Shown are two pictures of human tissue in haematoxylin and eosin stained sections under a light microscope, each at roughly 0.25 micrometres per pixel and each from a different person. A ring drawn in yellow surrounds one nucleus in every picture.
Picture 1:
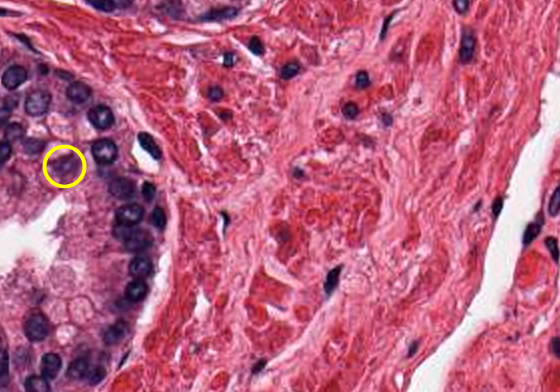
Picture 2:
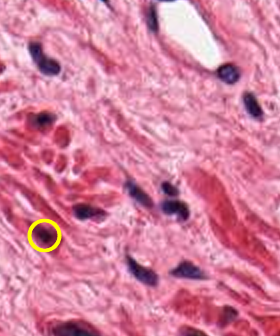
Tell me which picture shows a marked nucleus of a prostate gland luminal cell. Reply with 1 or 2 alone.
1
